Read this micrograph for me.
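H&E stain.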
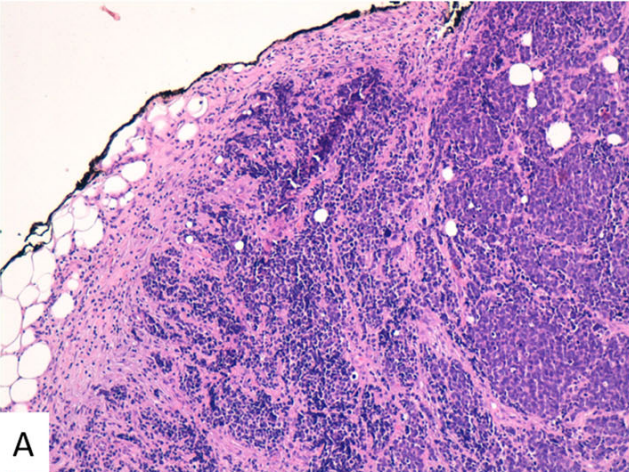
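The cells have dark, round to oval nuclei and only a little purple cytoplasm, so the nests look deeply blue-purple at this magnification. Strands of pink fibrous tissue run between the nests and divide them into lobules. Along the upper left edge, clear round fat cells sit in a looser pink band outside the tumour.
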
